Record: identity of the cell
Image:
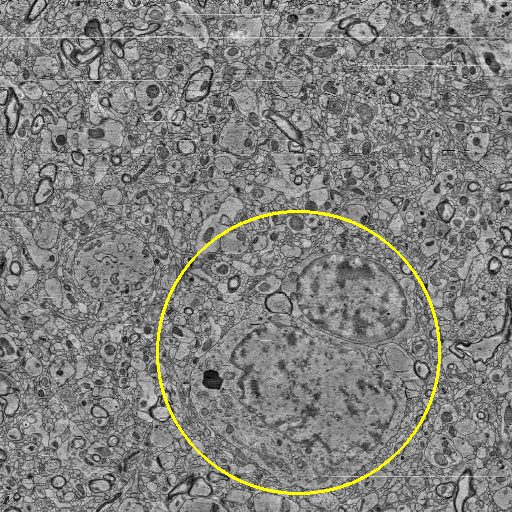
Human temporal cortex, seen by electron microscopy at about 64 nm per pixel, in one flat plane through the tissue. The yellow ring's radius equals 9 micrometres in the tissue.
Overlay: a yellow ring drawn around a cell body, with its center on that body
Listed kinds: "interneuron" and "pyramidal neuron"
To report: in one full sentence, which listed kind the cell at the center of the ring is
In the image, the cell body at the ring's center belongs to an interneuron.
